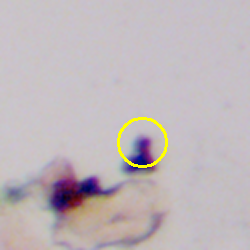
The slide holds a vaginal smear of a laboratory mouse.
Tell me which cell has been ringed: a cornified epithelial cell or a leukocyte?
It is a leukocyte.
